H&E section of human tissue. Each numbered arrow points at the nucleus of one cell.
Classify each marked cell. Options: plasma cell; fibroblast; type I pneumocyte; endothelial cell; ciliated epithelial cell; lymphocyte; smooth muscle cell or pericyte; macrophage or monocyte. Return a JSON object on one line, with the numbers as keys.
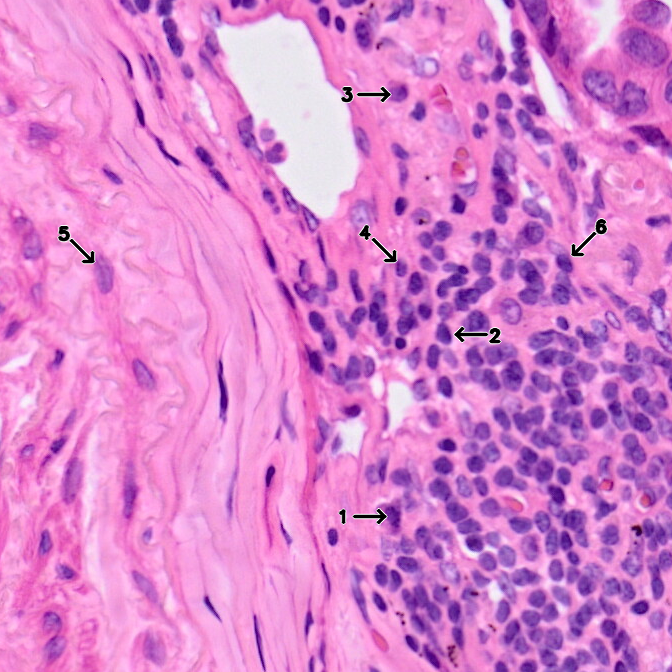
{"1": "plasma cell", "2": "lymphocyte", "3": "plasma cell", "4": "lymphocyte", "5": "smooth muscle cell or pericyte", "6": "lymphocyte"}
